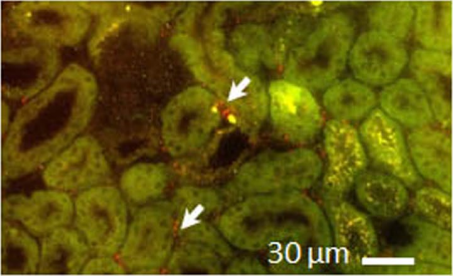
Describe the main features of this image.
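This is kidney tissue with many renal tubules cut in cross and oblique section. Each tubule is a ring of yellow-green epithelial cells surrounding a darker lumen, and the tubules lie packed closely together. Some tubules have cells filled with bright yellow granules. Between the tubules run narrow interstitial spaces, and in these a few small red dots are seen, pointed out by arrows. A larger dark rounded area in the upper left breaks the pattern of tubules.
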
